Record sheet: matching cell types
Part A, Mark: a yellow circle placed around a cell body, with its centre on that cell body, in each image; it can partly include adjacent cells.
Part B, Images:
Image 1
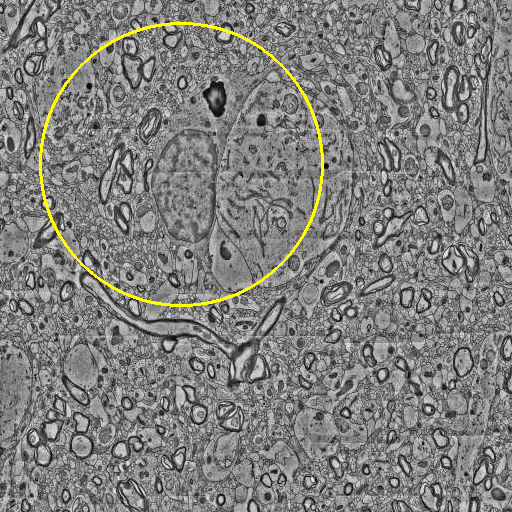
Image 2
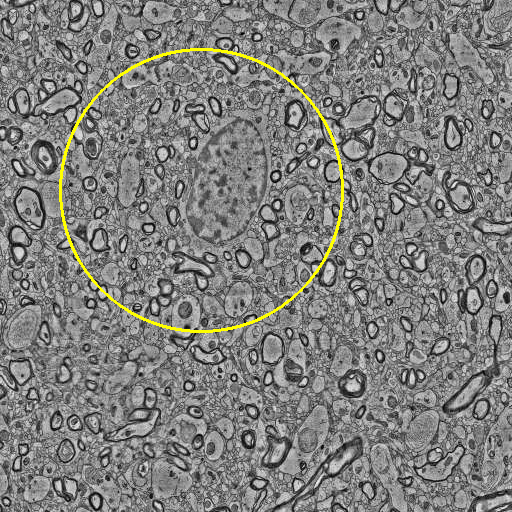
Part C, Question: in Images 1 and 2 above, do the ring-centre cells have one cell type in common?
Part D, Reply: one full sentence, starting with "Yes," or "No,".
Yes, the ring-centre cells of Image 1 and Image 2 are both of a single cell type.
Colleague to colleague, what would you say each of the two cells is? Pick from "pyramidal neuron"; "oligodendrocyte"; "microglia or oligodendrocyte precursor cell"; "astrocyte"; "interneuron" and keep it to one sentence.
Both rings mark an oligodendrocyte, one in each picture.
